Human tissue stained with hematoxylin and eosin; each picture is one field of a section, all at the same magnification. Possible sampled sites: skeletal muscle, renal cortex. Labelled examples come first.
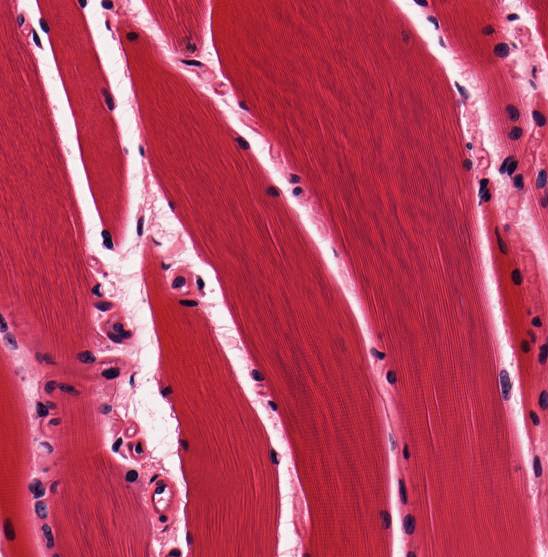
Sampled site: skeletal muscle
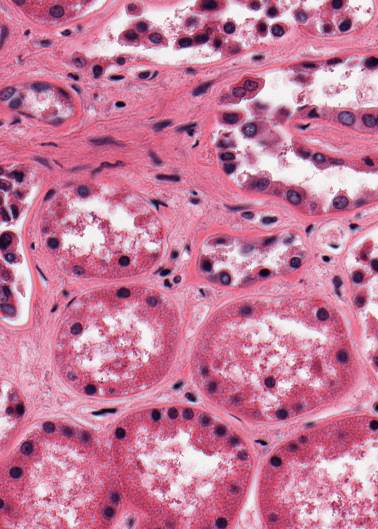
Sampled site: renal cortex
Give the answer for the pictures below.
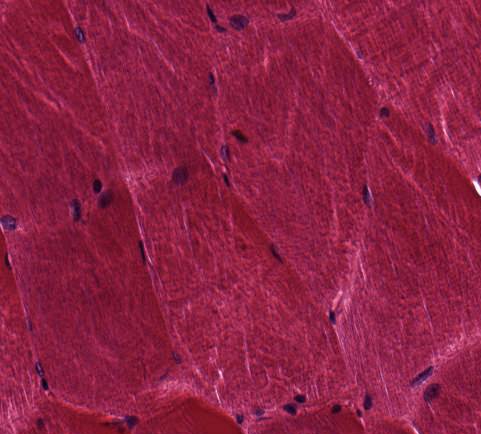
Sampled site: skeletal muscle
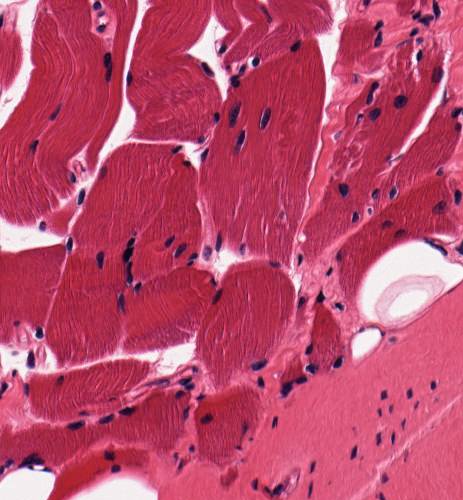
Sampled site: skeletal muscle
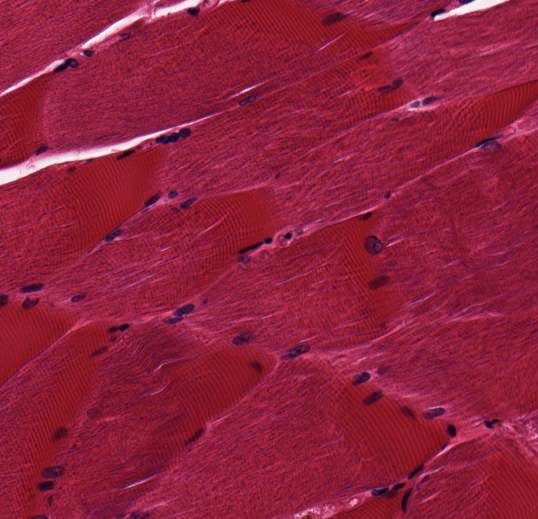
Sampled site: skeletal muscle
